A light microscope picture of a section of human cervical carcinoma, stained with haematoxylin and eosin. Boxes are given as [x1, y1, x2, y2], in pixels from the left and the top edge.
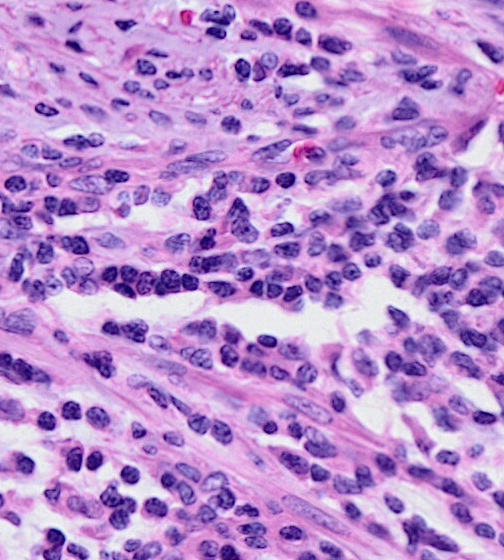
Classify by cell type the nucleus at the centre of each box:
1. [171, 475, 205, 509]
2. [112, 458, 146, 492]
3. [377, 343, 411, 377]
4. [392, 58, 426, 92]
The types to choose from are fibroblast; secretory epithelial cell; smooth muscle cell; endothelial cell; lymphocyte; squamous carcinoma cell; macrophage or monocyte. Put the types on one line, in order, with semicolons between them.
endothelial cell; lymphocyte; lymphocyte; lymphocyte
